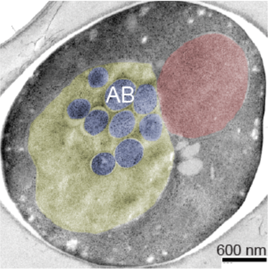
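A single oval cell bounded by a pale cell wall, with dense granular cytoplasm. On one side sits a rounded red-tinted nucleus; beside it a large, irregular yellow-tinted vacuole fills much of the cell. A few small pale vesicles lie in the cytoplasm between the nucleus and vacuole.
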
